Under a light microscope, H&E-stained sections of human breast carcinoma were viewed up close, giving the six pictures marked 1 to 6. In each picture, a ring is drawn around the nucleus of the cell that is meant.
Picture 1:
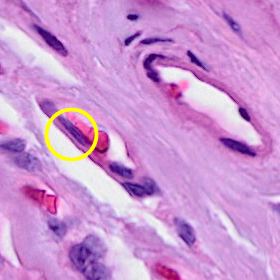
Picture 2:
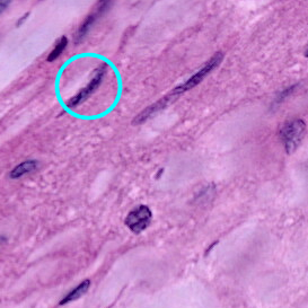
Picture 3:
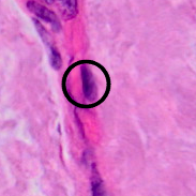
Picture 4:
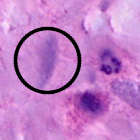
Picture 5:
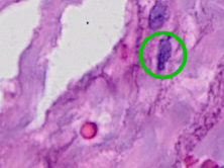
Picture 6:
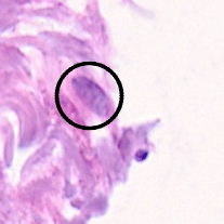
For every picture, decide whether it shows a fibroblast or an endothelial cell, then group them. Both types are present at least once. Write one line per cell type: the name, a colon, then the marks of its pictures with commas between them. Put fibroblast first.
fibroblast: 2, 4, 5, 6
endothelial cell: 1, 3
